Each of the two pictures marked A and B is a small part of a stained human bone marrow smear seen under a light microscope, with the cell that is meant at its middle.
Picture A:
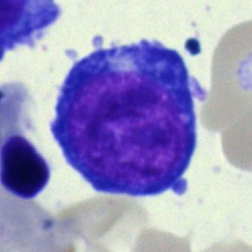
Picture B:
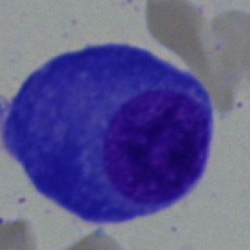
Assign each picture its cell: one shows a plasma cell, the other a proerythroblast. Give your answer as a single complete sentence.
In picture A the cell is a proerythroblast; in picture B, a plasma cell.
